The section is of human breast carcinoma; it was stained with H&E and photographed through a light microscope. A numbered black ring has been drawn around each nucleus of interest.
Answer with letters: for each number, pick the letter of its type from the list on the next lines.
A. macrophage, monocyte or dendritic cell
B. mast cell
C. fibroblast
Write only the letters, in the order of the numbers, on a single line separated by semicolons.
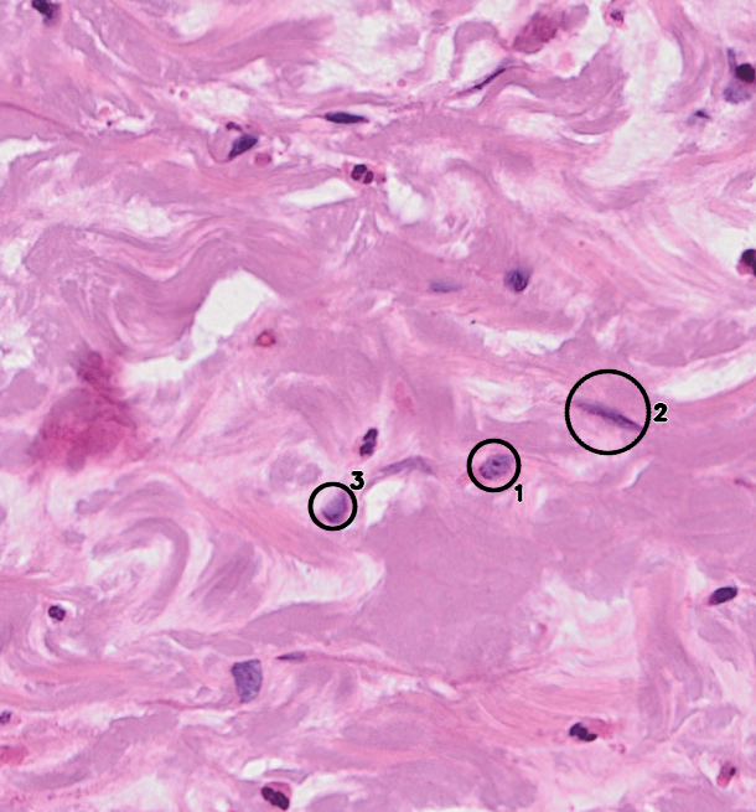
B; C; C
